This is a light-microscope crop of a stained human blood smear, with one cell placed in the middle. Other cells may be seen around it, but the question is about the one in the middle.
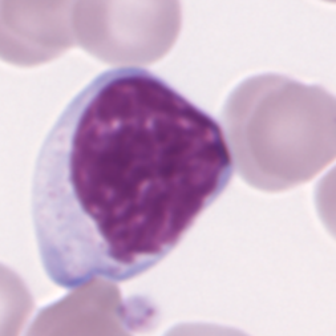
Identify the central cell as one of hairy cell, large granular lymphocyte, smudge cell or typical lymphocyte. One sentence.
Where the crop is centred, there is a large granular lymphocyte.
